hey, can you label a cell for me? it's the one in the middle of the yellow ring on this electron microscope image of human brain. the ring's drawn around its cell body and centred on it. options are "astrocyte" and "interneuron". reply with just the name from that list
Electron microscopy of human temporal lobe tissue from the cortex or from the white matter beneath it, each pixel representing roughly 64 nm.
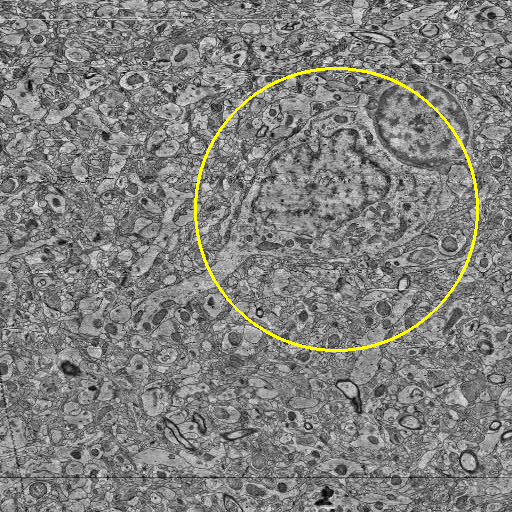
interneuron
